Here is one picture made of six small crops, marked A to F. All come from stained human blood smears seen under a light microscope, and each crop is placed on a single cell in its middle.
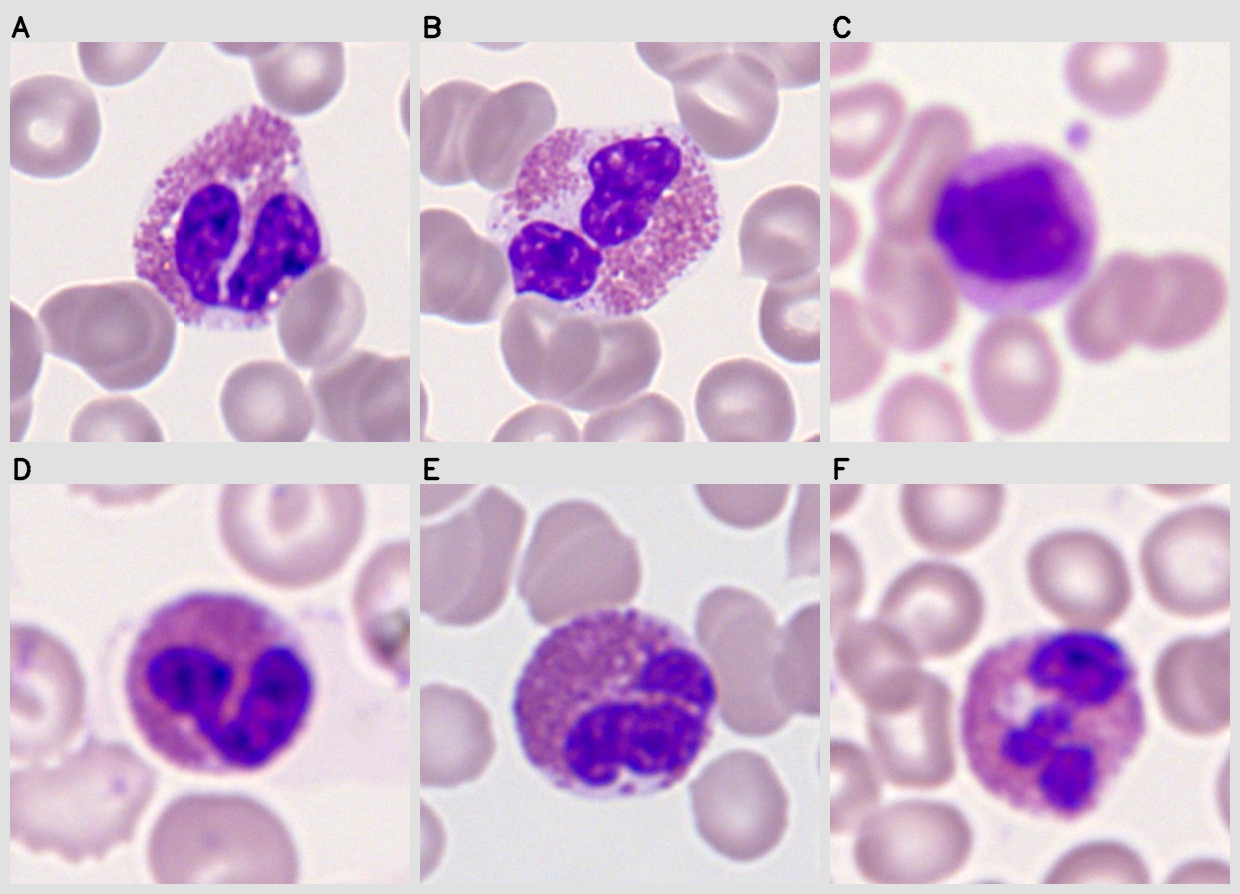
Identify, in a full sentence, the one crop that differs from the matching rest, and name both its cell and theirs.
Crop C is singled out as a basophil, and all of the other crops show eosinophils.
